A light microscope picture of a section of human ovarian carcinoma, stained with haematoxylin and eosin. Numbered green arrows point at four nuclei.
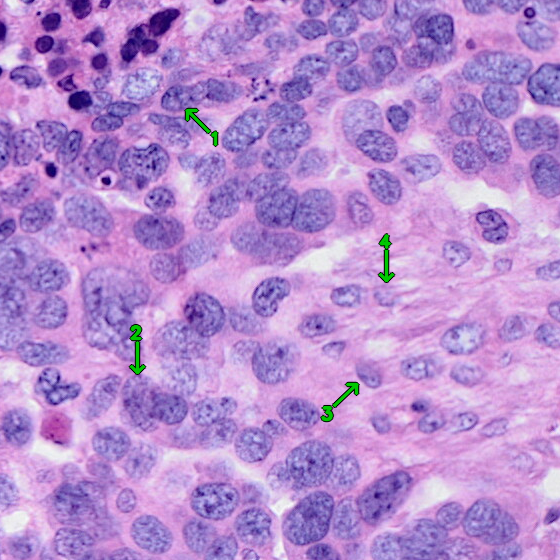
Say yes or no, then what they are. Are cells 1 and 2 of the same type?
Yes, both are carcinoma cells.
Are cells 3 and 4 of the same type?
Yes, both are fibroblasts.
